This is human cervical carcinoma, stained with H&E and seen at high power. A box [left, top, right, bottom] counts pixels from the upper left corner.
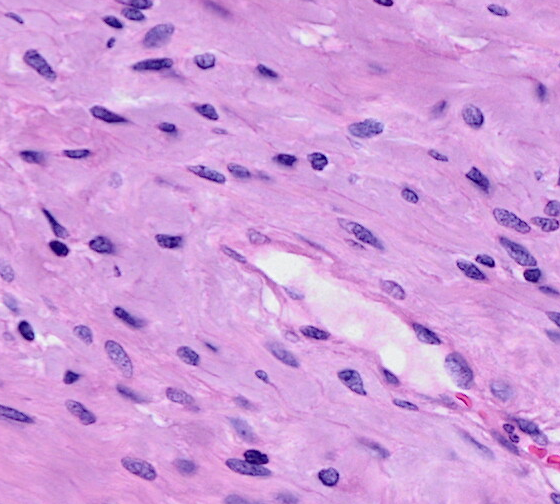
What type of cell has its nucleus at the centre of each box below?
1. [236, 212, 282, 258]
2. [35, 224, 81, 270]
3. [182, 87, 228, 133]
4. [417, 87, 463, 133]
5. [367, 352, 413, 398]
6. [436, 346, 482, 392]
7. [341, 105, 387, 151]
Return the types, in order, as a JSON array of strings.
["endothelial cell", "lymphocyte", "fibroblast", "fibroblast", "endothelial cell", "endothelial cell", "fibroblast"]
